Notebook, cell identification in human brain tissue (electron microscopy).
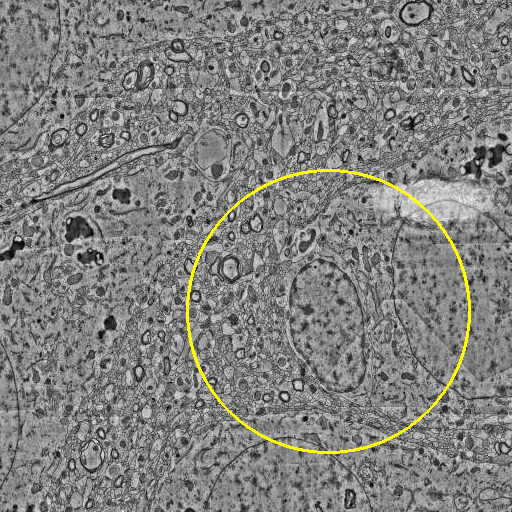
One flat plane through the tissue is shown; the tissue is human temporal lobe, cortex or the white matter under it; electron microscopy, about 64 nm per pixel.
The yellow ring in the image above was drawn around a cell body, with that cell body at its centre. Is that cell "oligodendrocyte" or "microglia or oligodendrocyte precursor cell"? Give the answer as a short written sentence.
The cell in the ring is a microglial cell or oligodendrocyte precursor cell.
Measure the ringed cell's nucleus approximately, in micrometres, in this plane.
The nucleus measures about 9 by 5 micrometres, so it is clearly longer than it is wide in this plane.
